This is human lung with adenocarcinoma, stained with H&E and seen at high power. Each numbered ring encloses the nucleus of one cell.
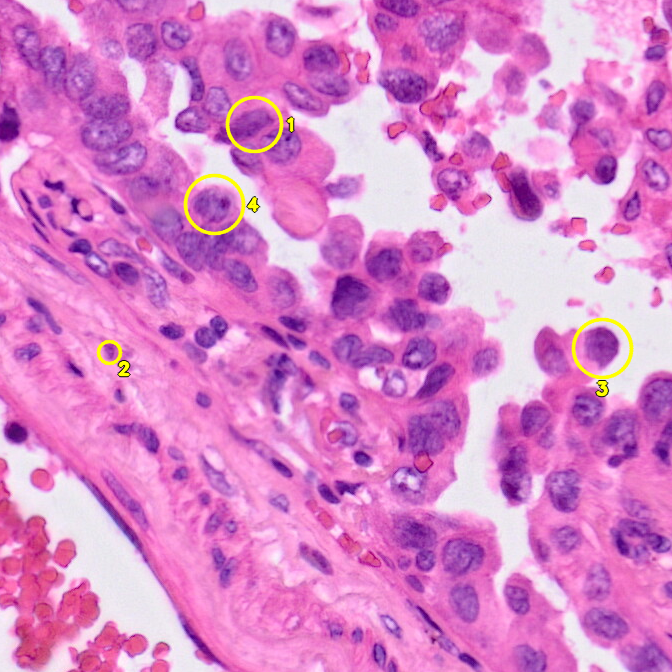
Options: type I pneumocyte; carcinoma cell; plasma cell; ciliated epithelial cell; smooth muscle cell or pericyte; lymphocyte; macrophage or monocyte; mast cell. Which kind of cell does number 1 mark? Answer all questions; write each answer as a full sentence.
The cell tagged with 1 in this tissue section is a carcinoma cell.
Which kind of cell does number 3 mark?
In this section, the cell tagged 3 is a carcinoma cell.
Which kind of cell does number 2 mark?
Within this field of view, the cell labelled 2 is a plasma cell.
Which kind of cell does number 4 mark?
Recognised here as a carcinoma cell is the cell numbered 4.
